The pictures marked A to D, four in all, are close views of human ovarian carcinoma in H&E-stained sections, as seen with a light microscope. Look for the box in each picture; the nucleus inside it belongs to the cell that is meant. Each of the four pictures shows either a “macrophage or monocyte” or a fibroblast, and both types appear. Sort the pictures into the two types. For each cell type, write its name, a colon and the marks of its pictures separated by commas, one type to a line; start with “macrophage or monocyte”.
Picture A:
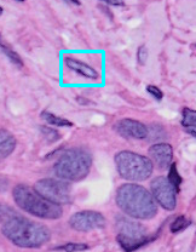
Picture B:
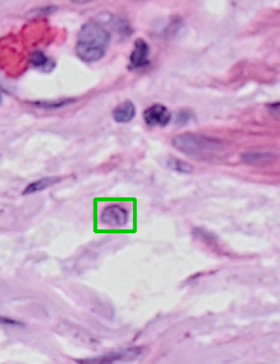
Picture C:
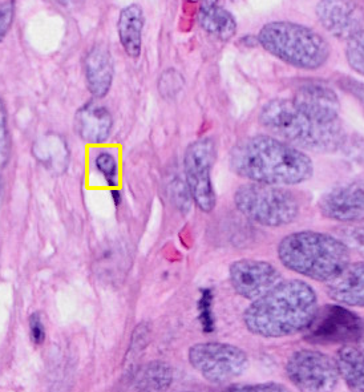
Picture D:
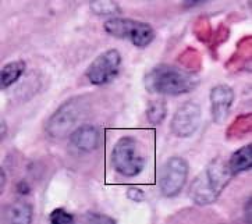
macrophage or monocyte: B, C, D
fibroblast: A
